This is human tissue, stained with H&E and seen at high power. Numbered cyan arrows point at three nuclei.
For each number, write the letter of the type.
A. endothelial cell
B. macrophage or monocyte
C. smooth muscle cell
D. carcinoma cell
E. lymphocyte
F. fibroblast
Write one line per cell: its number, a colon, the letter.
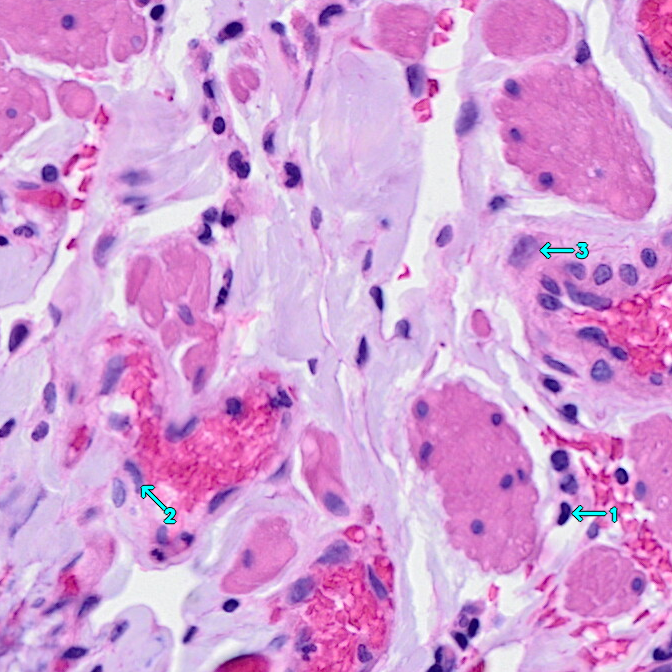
1: E
2: A
3: F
